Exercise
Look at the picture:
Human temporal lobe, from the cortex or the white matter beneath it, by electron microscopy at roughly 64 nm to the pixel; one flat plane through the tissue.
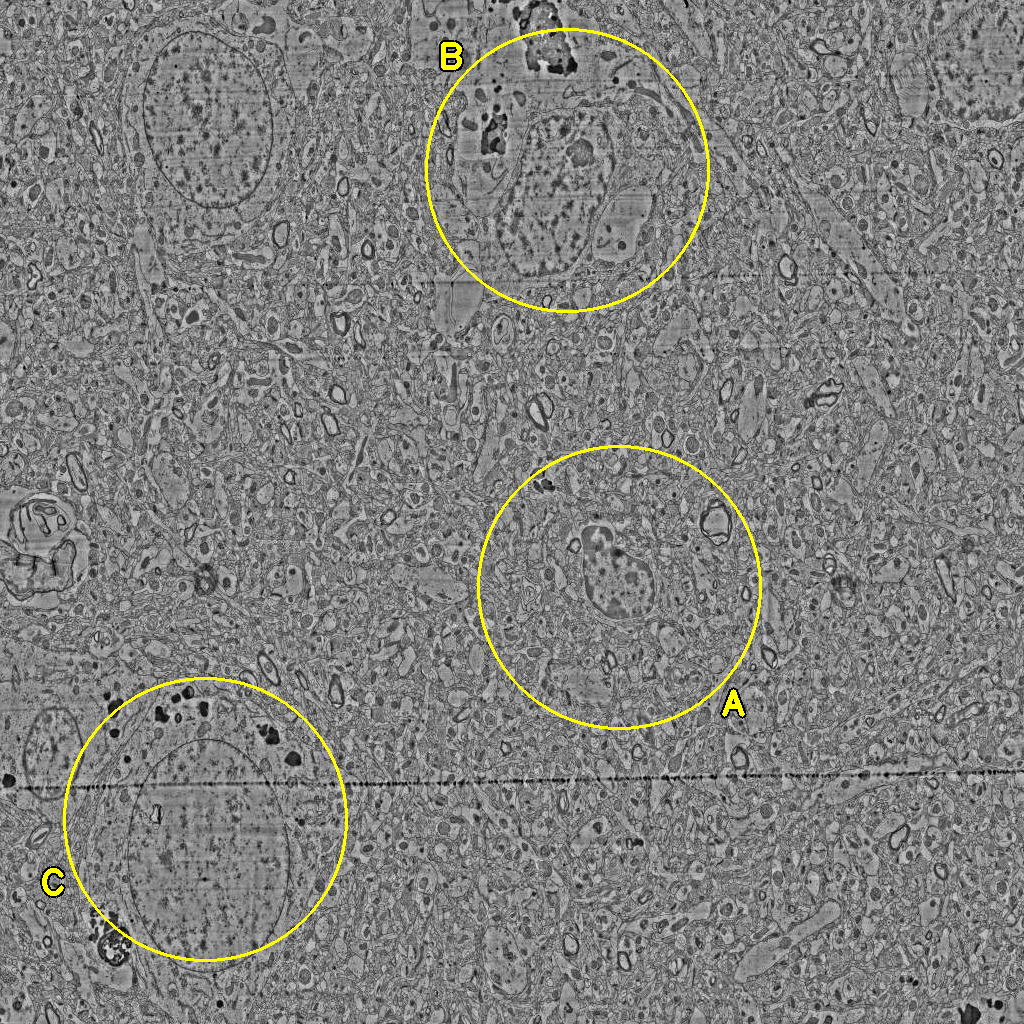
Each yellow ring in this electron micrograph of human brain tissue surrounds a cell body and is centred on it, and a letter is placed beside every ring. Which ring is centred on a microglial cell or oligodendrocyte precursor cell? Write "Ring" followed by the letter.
Ring A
